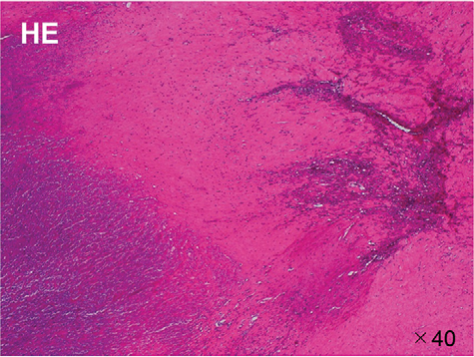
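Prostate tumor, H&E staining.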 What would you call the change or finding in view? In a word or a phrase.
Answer: necrotic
